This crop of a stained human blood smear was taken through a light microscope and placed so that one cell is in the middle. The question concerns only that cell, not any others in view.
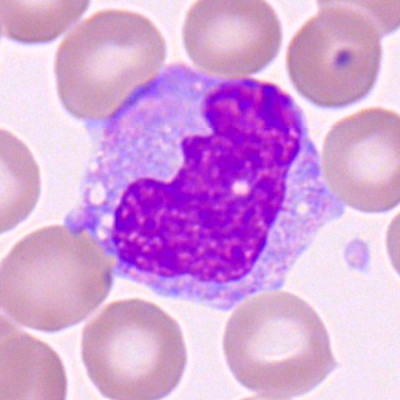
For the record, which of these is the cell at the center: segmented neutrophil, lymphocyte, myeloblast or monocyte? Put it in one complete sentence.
The cell marked by its central position in the crop is a monocyte.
